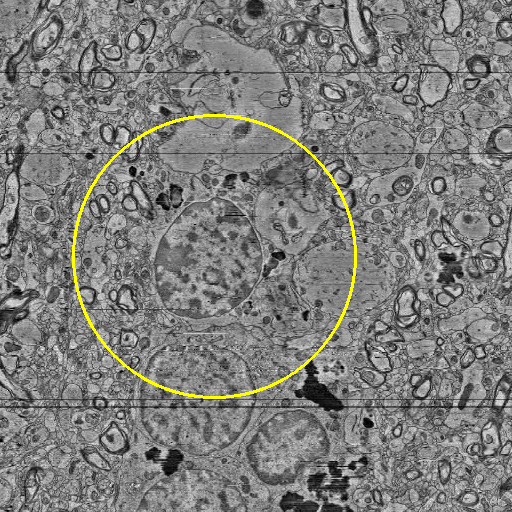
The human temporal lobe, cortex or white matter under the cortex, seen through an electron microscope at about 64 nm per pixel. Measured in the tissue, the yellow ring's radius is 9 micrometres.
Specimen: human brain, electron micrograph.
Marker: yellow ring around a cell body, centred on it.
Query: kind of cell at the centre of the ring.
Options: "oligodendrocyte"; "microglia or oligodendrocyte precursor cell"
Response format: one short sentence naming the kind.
This cell body belongs to a microglial cell or oligodendrocyte precursor cell.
